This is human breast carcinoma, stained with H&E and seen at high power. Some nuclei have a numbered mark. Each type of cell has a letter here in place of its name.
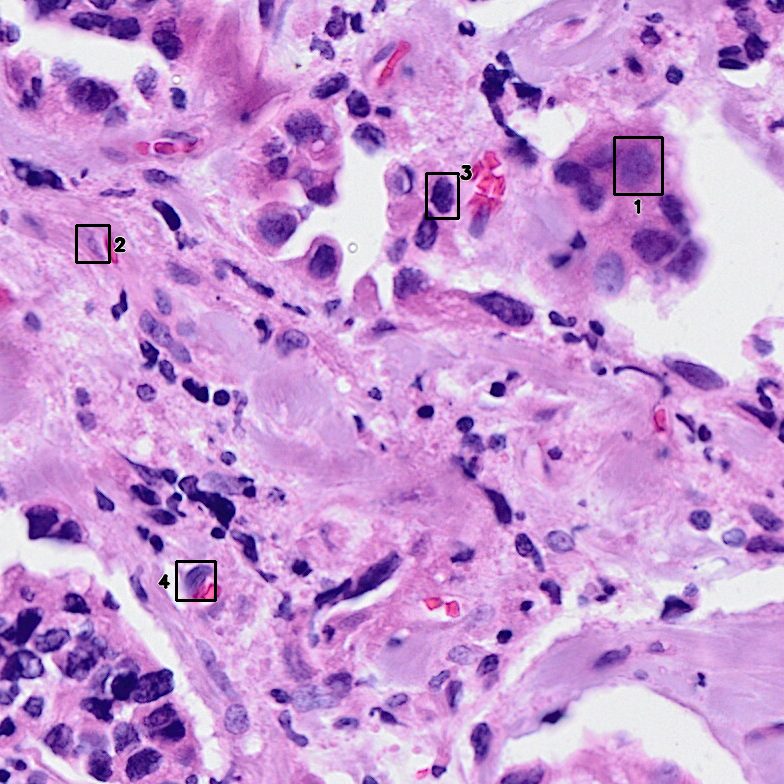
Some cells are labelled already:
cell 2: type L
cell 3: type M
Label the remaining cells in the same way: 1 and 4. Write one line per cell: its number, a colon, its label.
1: type M
4: type L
